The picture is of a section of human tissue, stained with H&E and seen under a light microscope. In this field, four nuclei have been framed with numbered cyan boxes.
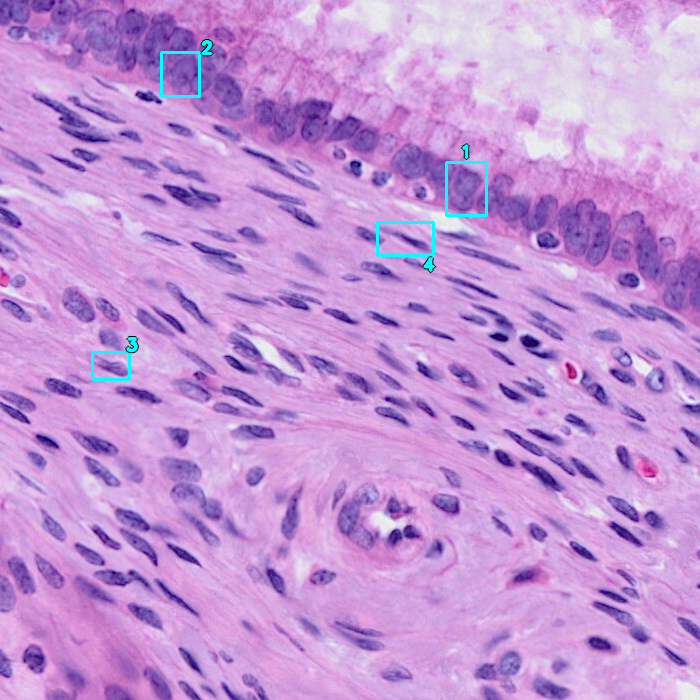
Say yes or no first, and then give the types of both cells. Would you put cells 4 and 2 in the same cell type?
No, sorry to say, cell 4 is a fibroblast and cell 2 is a secretory epithelial cell.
